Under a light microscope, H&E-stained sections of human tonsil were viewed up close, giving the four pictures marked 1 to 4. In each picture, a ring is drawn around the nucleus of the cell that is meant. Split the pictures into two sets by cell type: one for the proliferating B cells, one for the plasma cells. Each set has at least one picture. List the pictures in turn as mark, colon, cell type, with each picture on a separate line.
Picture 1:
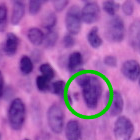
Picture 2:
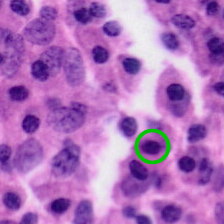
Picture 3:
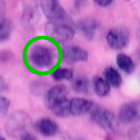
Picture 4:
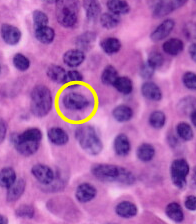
1: proliferating B cell
2: plasma cell
3: proliferating B cell
4: plasma cell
